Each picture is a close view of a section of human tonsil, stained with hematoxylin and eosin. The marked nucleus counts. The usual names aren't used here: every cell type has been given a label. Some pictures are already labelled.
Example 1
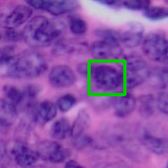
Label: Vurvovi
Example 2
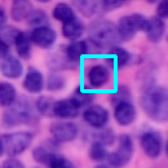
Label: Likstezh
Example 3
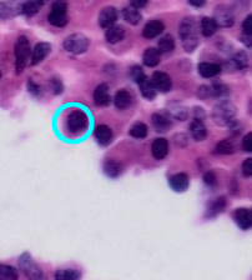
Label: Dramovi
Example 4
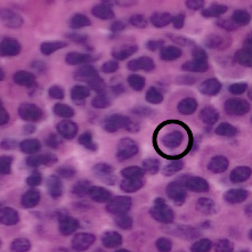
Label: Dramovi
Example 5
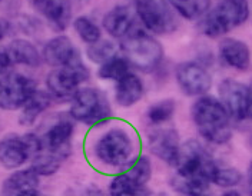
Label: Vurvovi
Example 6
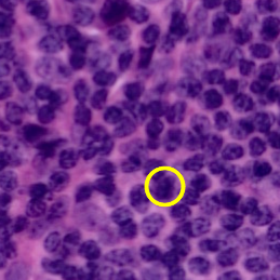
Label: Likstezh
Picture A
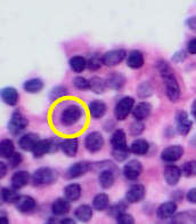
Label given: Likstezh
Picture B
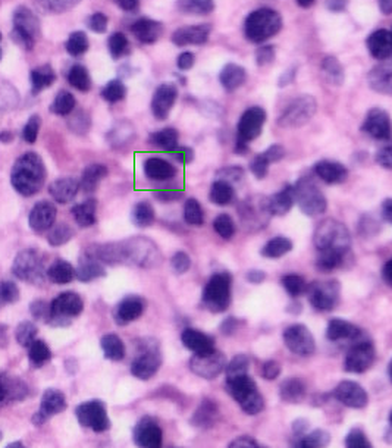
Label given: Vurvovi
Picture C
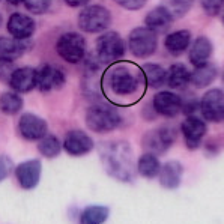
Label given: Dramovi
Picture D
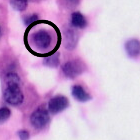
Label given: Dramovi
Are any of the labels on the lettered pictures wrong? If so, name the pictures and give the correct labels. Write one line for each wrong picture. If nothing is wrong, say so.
C: not Dramovi but Likstezh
